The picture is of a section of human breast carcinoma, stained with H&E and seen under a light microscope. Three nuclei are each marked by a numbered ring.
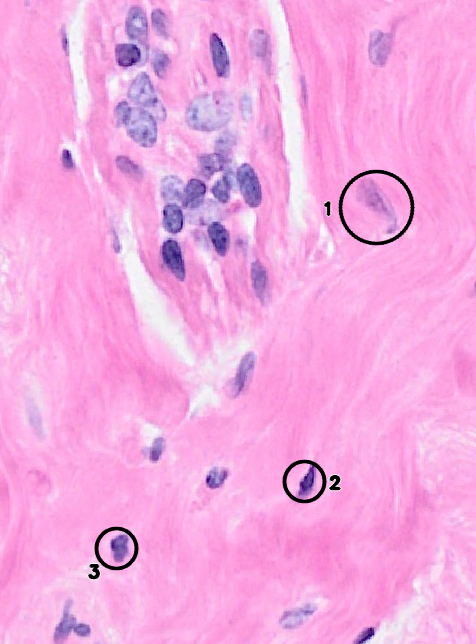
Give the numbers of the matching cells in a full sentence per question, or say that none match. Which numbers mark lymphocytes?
Of all the numbered cells, only cell 3 is a lymphocyte.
